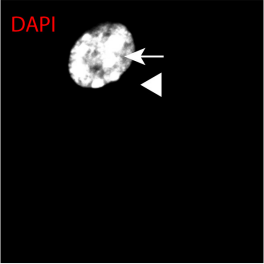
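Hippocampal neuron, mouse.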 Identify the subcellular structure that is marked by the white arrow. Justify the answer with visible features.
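Nuclei. The arrow points into a single round, brightly stained body. The body shows clumped, speckled chromatin texture.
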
